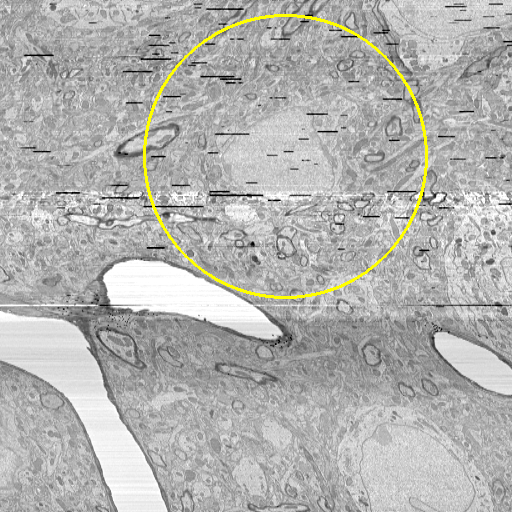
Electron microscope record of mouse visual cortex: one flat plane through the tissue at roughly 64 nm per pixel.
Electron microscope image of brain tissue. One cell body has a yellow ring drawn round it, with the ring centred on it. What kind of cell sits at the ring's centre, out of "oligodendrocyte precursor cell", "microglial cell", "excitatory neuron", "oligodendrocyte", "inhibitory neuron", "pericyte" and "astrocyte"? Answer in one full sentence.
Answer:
It is an astrocyte whose cell body sits at the centre of the yellow ring.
